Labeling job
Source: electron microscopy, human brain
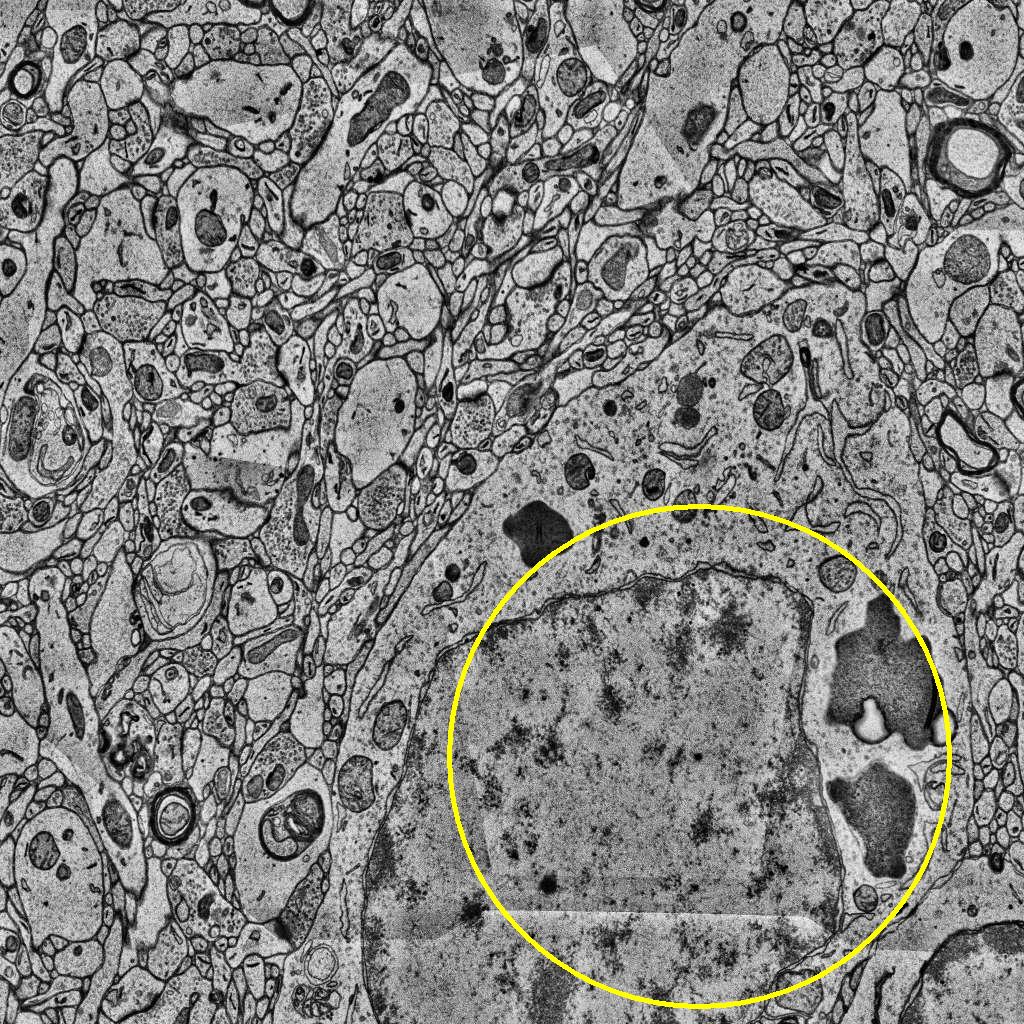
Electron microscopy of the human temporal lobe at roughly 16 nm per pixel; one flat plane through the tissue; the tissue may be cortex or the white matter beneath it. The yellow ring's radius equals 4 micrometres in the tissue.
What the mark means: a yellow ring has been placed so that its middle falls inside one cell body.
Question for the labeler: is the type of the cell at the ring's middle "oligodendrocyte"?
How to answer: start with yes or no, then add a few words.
No, its type is another one.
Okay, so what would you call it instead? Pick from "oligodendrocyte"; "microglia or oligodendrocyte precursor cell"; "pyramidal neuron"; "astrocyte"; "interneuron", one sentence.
What the ring encloses here is an interneuron.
